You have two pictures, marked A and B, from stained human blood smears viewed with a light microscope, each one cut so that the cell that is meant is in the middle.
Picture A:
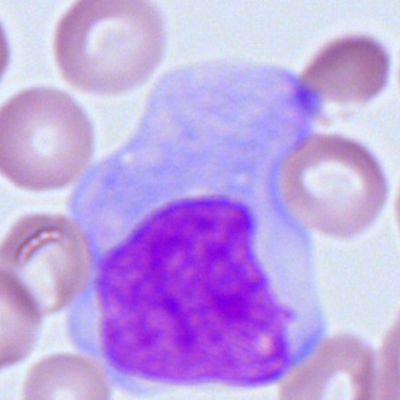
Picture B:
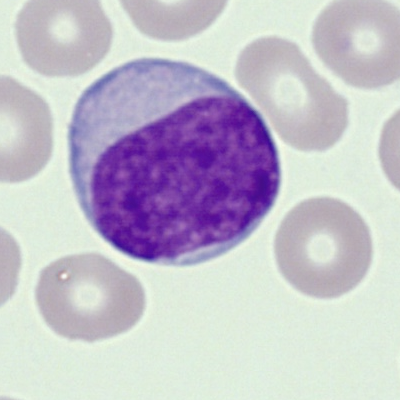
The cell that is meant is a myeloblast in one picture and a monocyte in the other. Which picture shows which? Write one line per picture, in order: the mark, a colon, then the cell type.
A: monocyte
B: myeloblast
